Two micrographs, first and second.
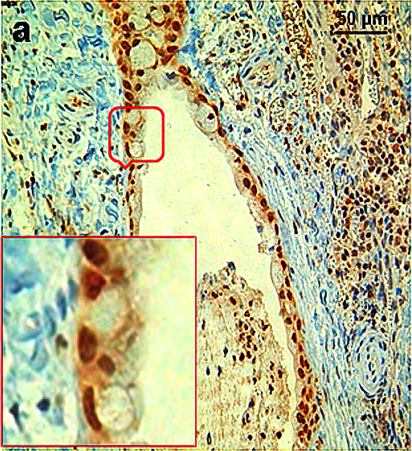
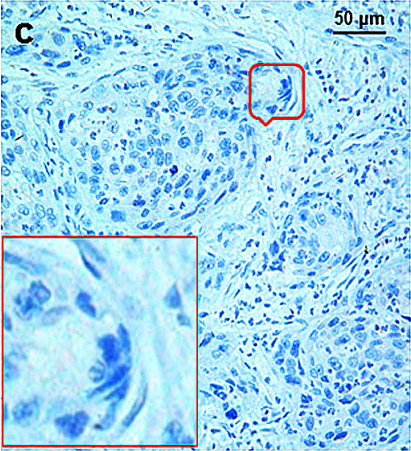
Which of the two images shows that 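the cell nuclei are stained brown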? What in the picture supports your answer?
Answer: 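Second image: nuclei and cytoplasm are blue only, with no brown. First image: many nuclei lining the space and in the stroma are dark brown. On this evidence: the first image.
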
